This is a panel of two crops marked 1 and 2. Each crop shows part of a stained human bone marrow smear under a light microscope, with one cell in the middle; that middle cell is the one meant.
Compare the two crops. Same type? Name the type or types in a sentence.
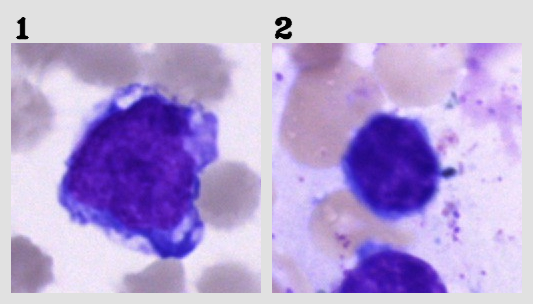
No, crop 1 contains a blast; a lymphocyte is what crop 2 contains.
